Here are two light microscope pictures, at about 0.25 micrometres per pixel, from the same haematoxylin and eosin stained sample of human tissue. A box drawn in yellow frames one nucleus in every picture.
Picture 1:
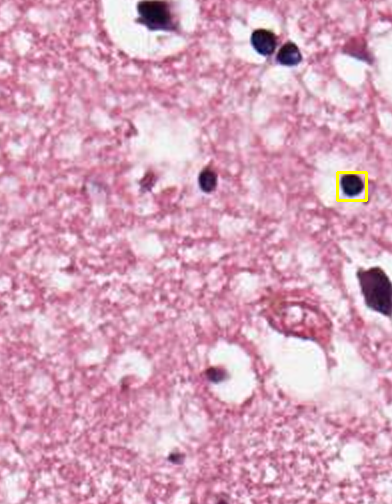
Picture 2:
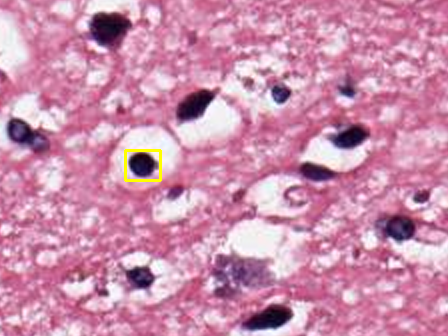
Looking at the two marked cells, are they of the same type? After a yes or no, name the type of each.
Yes, both are oligodendrocytes.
